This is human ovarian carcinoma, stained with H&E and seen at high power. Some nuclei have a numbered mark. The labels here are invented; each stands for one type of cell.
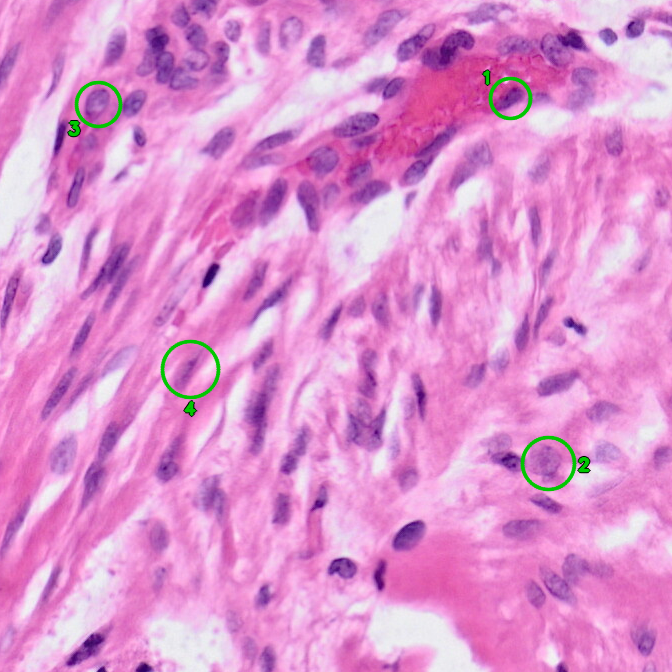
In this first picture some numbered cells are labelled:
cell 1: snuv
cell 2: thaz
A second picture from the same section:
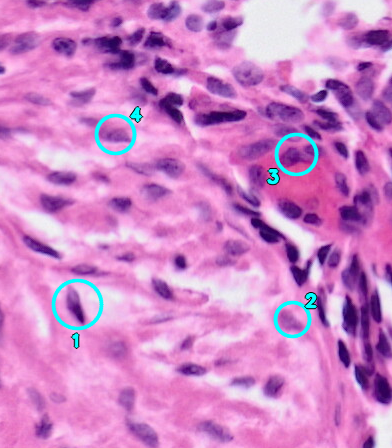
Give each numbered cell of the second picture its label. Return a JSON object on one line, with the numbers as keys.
{"1": "thaz", "2": "thaz", "3": "snuv", "4": "thaz"}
